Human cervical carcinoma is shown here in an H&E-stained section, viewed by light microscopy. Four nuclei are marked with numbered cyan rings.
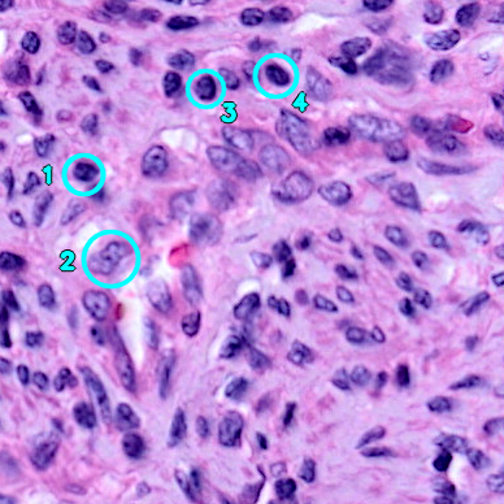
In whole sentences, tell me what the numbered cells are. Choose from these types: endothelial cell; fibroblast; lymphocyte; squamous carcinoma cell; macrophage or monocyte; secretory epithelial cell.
Cell 1 is a lymphocyte, cell 2 is an endothelial cell, cell 3 is a lymphocyte and cell 4 is a lymphocyte.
